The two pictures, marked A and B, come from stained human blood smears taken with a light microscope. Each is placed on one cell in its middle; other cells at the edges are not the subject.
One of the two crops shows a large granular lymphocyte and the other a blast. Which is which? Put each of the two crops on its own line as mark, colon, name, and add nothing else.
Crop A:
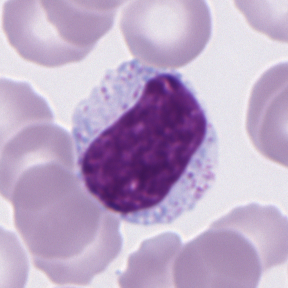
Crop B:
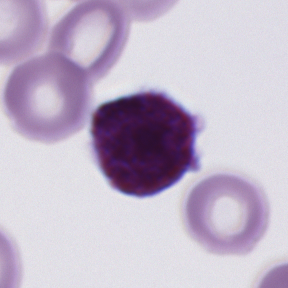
A: large granular lymphocyte
B: blast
